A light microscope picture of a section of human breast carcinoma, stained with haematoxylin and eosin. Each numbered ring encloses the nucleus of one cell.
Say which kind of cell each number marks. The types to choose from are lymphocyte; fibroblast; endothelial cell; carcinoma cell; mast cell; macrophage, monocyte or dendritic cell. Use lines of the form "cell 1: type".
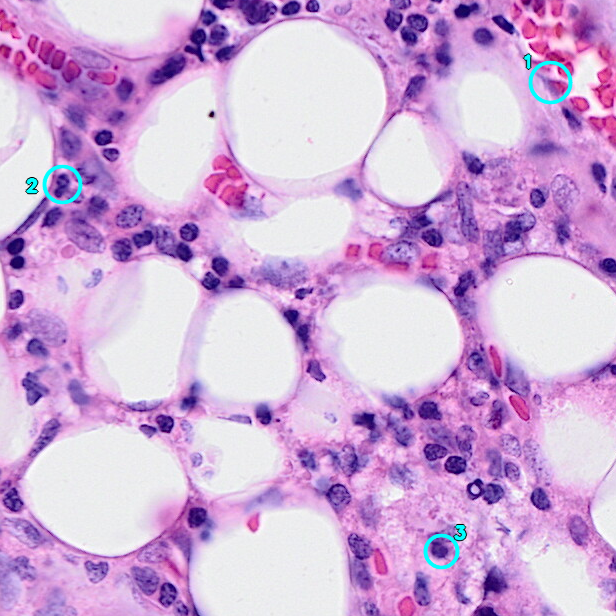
cell 1: endothelial cell
cell 2: lymphocyte
cell 3: lymphocyte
